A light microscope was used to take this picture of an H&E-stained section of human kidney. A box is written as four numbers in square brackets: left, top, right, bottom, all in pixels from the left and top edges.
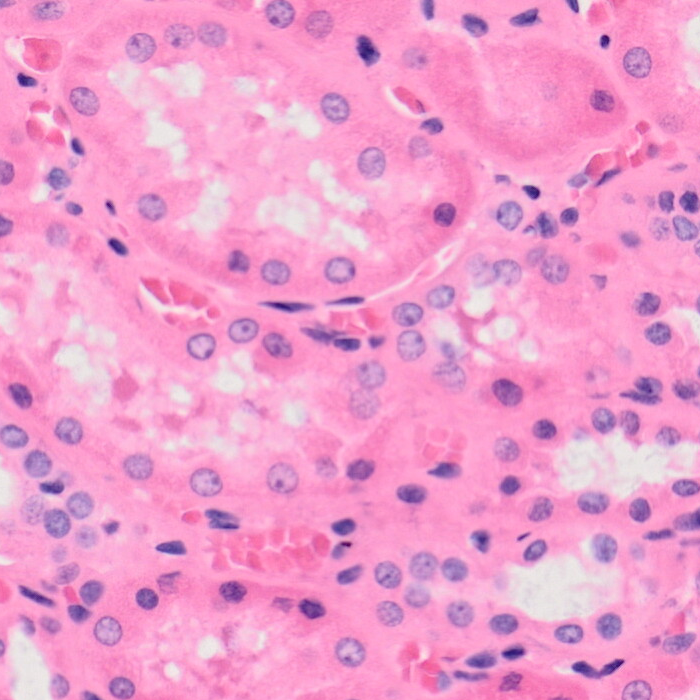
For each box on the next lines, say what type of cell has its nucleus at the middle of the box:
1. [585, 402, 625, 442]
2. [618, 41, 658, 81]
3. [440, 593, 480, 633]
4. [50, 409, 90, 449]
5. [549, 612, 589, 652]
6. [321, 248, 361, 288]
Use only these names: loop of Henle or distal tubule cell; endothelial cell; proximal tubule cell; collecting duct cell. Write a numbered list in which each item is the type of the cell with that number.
1. loop of Henle or distal tubule cell
2. proximal tubule cell
3. loop of Henle or distal tubule cell
4. proximal tubule cell
5. loop of Henle or distal tubule cell
6. proximal tubule cell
